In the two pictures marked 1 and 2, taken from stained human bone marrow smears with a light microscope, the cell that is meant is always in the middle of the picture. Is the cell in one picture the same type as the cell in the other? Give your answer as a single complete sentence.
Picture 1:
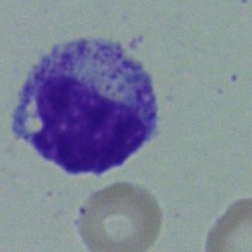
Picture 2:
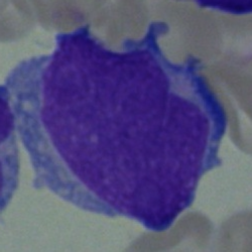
No; the cell in picture 1 is a myelocyte, while the one in picture 2 is a blast.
